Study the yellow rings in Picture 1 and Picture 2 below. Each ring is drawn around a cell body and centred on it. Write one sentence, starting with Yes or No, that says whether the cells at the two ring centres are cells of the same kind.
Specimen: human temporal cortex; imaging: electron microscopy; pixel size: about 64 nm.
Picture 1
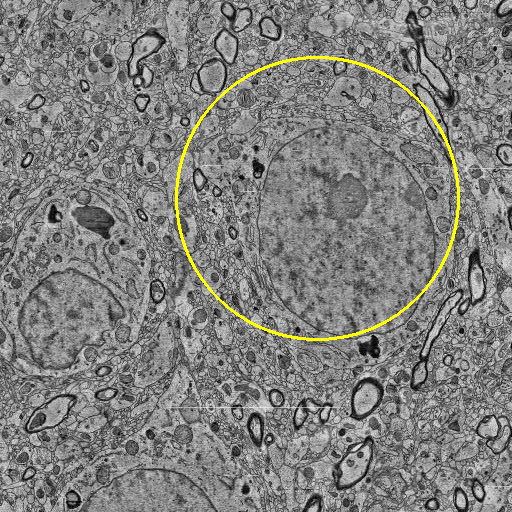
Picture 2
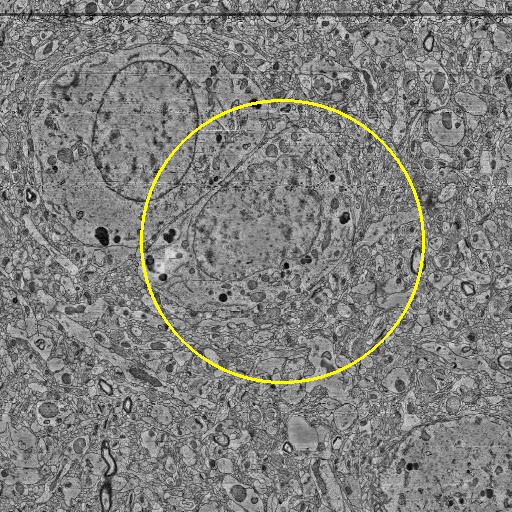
No, the cells at the ring centres are of two kinds.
